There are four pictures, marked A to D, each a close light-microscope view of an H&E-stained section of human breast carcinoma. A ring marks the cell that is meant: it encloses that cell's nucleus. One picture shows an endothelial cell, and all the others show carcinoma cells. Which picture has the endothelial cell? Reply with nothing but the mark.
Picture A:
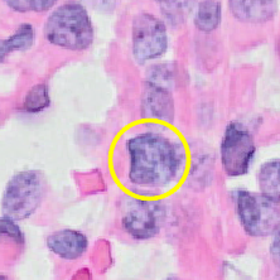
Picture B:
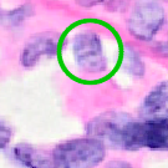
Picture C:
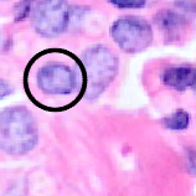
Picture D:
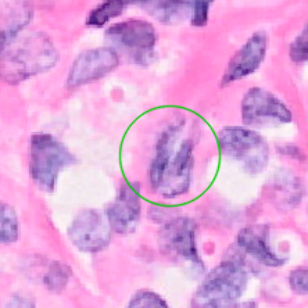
D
